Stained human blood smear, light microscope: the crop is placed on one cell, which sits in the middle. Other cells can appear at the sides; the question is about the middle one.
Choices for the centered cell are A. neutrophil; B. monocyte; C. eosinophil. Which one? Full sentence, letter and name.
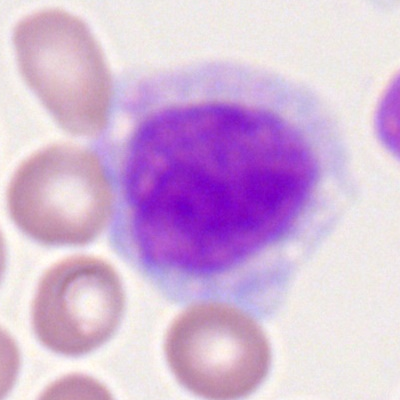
The central cell in this crop is a monocyte, corresponding to option B, the correct option.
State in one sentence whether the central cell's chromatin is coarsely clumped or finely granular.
The nuclear chromatin is fine, showing no coarse aggregates.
